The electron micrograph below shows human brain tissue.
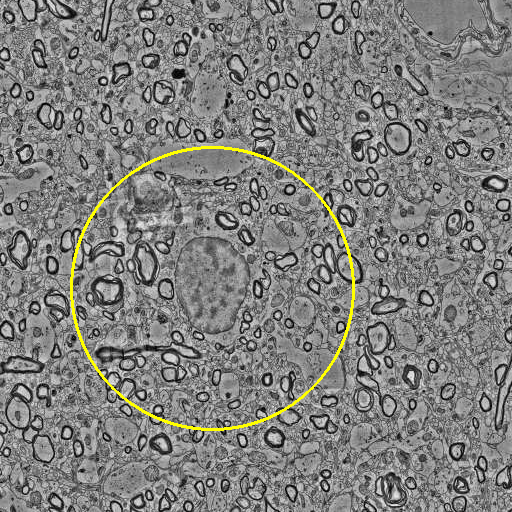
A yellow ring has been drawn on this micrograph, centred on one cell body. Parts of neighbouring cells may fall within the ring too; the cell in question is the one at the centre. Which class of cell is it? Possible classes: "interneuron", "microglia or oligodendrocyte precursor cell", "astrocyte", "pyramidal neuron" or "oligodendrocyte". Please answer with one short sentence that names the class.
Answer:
In the centre of the ring sits an oligodendrocyte.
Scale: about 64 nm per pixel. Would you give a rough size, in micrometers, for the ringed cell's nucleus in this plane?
Approximately 6 micrometres long and 5 micrometres wide, in this plane.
